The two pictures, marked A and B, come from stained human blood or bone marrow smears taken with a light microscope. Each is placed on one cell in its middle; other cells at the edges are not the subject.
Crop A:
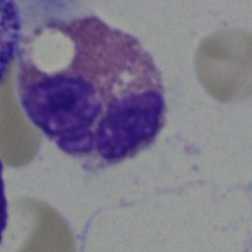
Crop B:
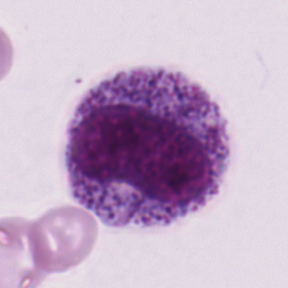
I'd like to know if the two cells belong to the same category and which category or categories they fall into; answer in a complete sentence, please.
No, the cell centred in crop B is a metamyelocyte; crop A centres on an eosinophil.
